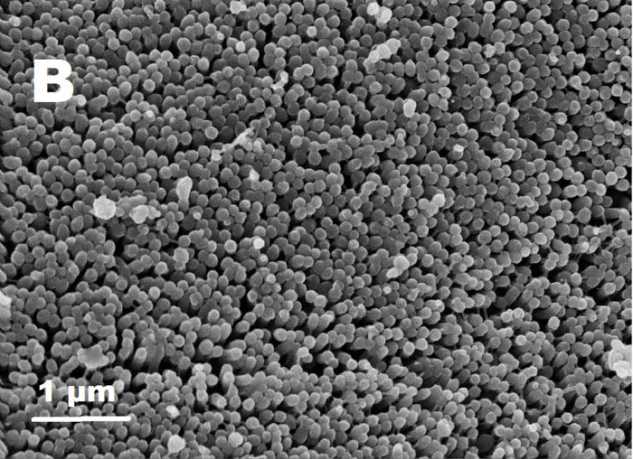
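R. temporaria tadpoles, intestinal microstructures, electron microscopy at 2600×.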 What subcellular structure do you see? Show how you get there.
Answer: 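Seen from above, a dense even field of small round tips of uniform size. The tips are packed side by side over the whole surface.
Hence: microvilli seam.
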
